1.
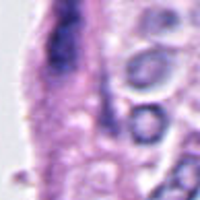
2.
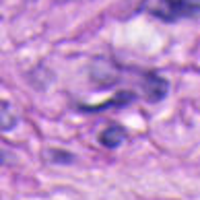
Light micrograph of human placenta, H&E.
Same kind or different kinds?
Different: the first is a cytotrophoblast, the second a vascular myocyte.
